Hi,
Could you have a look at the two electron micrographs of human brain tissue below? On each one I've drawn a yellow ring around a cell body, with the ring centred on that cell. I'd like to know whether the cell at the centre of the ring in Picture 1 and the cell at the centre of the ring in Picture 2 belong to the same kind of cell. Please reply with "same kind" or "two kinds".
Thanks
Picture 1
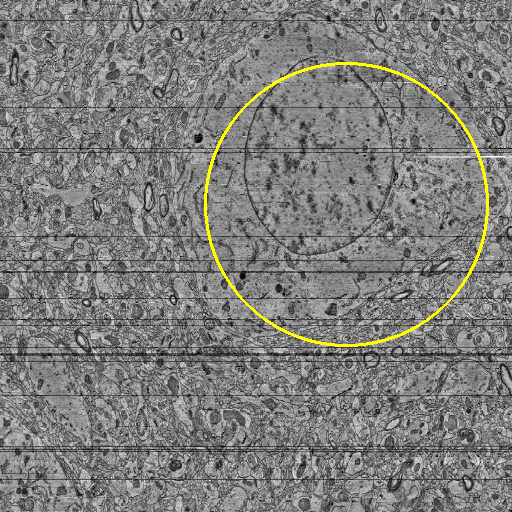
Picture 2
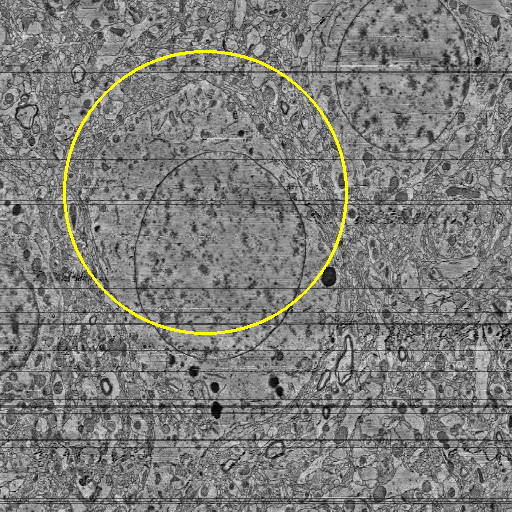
same kind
